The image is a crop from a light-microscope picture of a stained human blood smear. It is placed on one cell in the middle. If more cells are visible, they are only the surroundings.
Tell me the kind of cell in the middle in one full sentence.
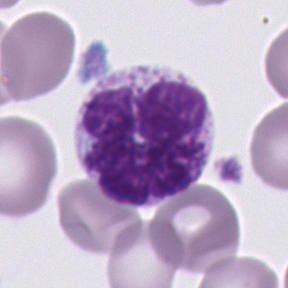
On this slide crop, the central cell is a basophil.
